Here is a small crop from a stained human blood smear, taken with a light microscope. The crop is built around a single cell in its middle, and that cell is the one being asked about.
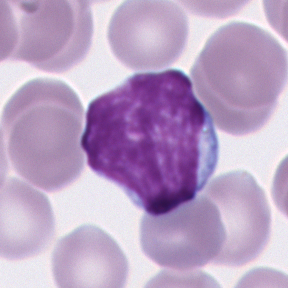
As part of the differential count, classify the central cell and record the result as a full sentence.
Centred in the crop is a typical lymphocyte.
